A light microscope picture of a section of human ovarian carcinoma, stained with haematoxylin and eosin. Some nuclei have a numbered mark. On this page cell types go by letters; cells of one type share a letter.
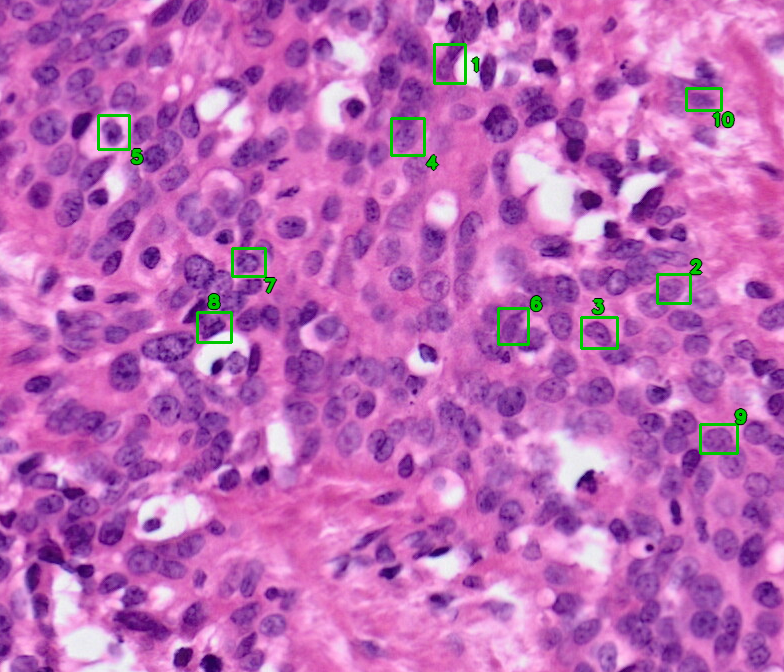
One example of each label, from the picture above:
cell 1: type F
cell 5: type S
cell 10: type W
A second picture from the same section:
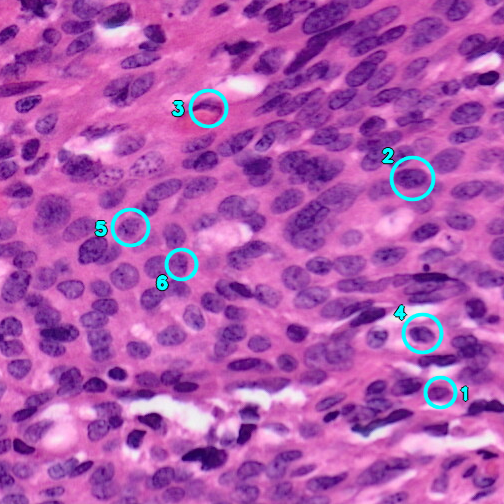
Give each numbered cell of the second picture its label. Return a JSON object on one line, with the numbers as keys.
{"1": "type F", "2": "type F", "3": "type W", "4": "type S", "5": "type F", "6": "type F"}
